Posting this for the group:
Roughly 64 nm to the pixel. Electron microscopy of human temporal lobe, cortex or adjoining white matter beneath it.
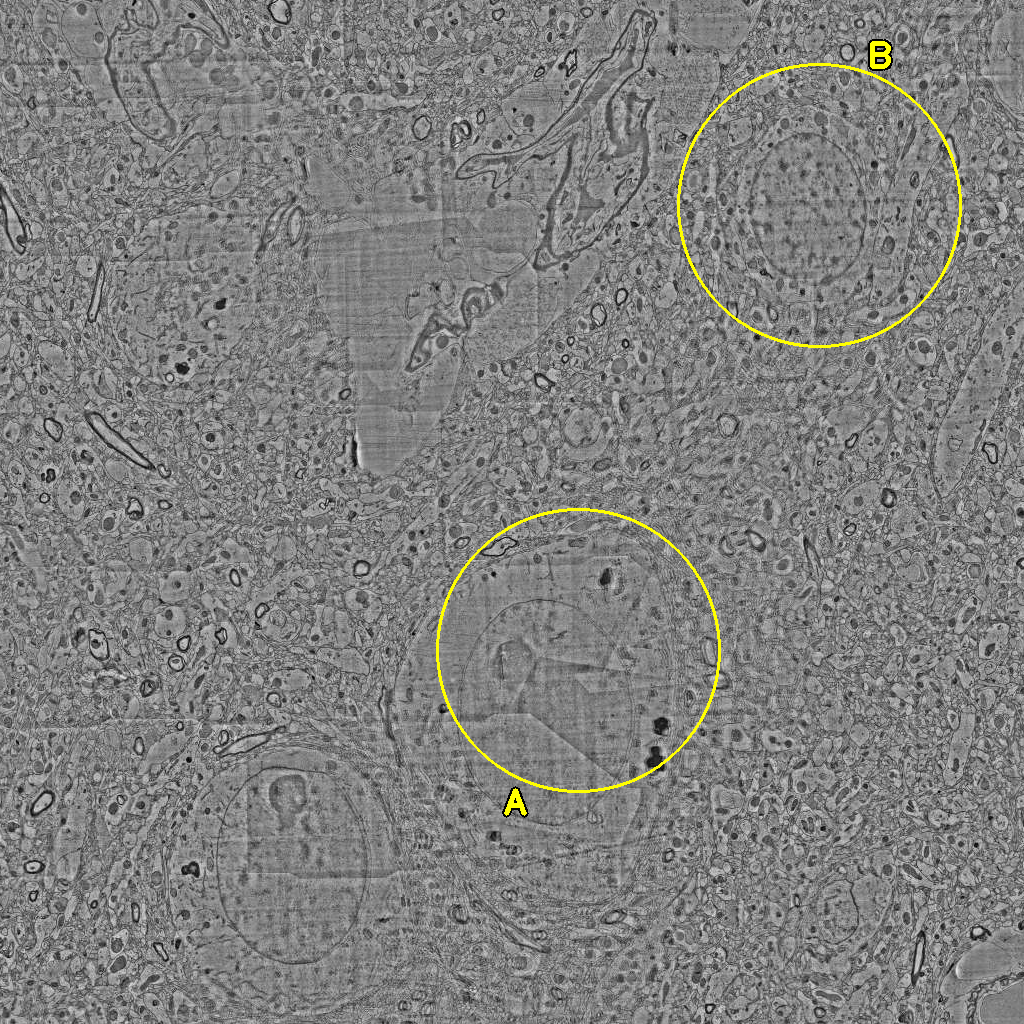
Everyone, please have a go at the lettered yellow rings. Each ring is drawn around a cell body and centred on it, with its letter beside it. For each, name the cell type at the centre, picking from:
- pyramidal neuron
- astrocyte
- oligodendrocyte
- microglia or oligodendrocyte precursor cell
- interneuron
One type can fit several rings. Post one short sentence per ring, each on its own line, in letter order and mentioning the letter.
My call for ring A is a pyramidal neuron.
My call for ring B is an interneuron.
